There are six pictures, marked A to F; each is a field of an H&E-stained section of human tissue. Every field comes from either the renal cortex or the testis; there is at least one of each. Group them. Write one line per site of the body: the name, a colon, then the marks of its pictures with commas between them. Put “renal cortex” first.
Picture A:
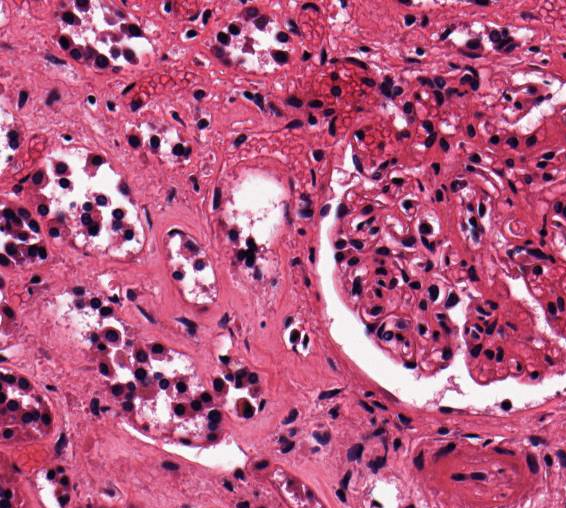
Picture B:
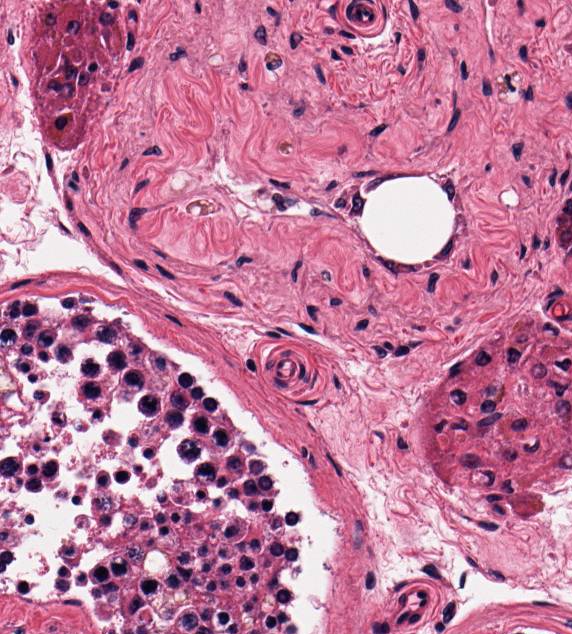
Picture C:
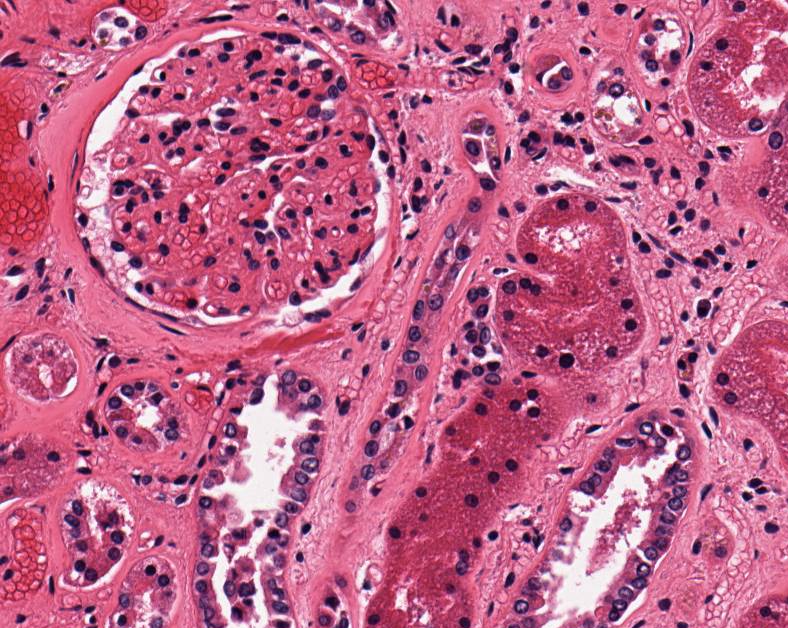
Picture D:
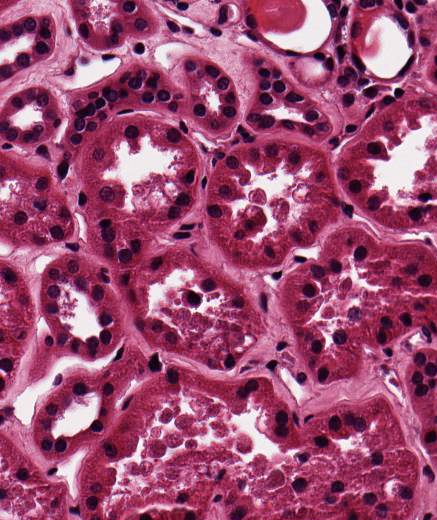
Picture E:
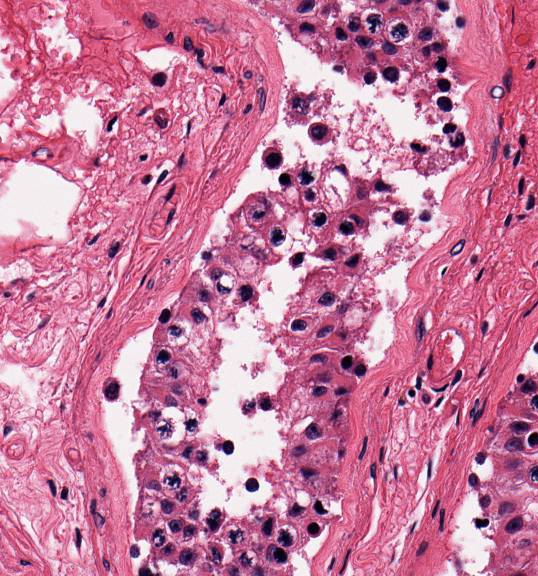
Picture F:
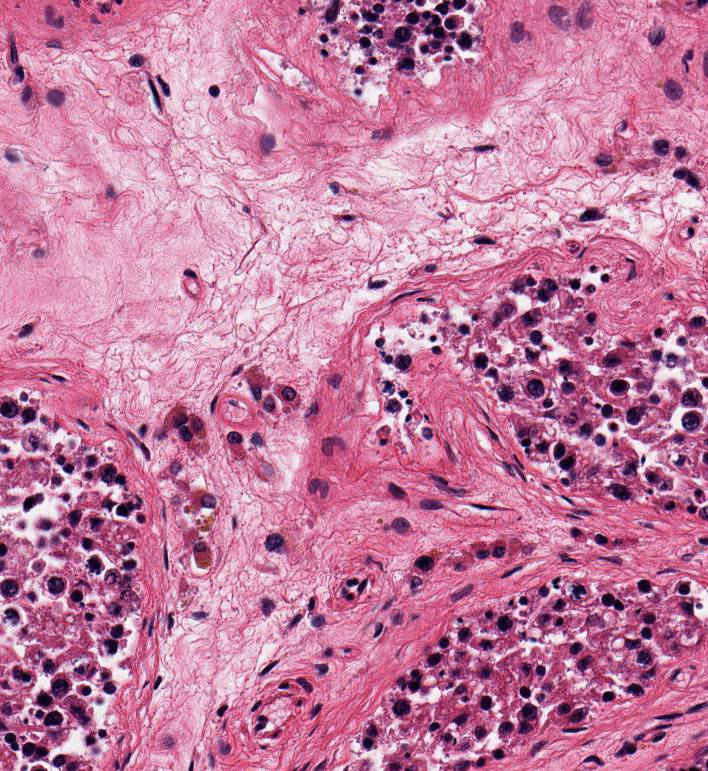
renal cortex: A, C, D
testis: B, E, F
